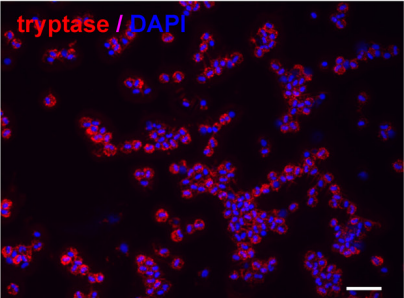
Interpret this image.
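The cells are small and round, each with a round blue nucleus surrounded by a rim of granular red cytoplasm. They lie in loose clumps and branching chains with empty space between groups. No flattened or spindle-shaped cells are evident.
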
